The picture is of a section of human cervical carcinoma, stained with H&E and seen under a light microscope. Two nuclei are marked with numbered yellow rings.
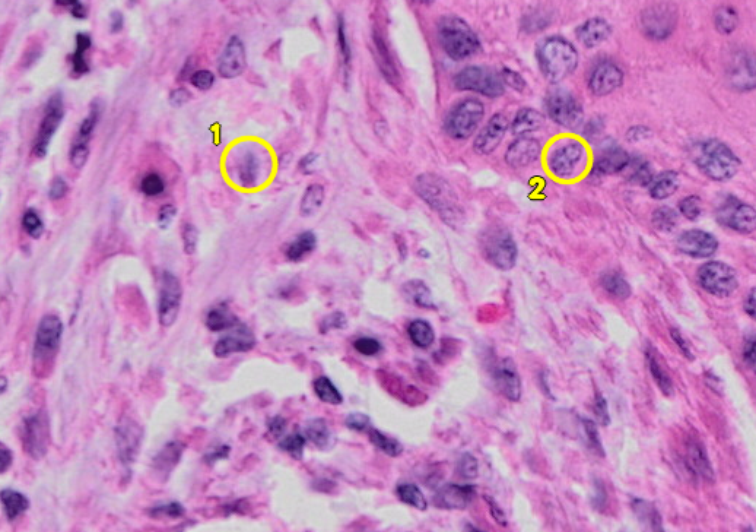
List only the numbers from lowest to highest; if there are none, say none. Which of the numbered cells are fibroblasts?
1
